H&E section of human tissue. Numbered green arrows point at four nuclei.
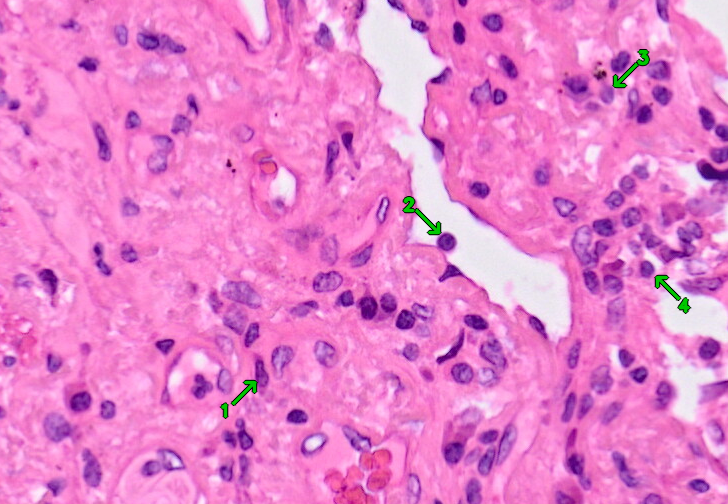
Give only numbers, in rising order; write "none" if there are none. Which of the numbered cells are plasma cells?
1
